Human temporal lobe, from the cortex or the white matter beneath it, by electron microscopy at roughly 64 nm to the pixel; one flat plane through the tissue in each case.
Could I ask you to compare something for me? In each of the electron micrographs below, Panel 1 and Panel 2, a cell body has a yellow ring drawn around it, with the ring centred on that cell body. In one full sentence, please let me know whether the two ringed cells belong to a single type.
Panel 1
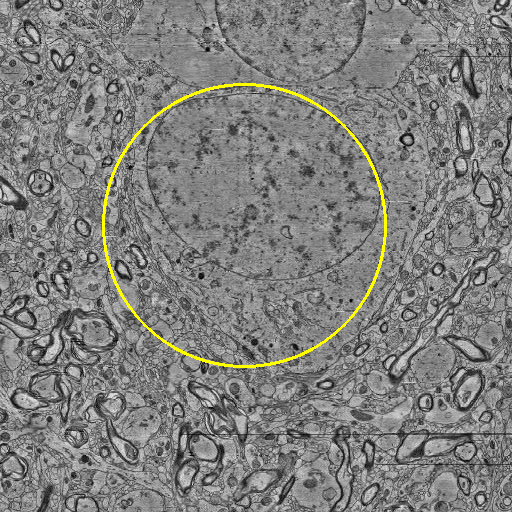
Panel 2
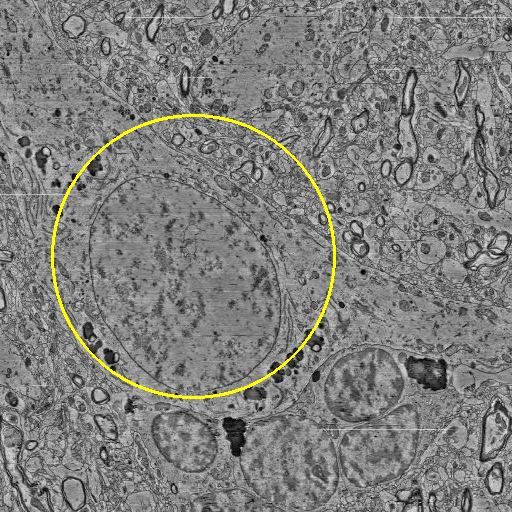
Yes, the two cells at the centres of the rings are of one type.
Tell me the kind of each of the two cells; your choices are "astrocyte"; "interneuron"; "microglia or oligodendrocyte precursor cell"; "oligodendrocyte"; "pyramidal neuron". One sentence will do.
Each of the two rings surrounds a pyramidal neuron.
